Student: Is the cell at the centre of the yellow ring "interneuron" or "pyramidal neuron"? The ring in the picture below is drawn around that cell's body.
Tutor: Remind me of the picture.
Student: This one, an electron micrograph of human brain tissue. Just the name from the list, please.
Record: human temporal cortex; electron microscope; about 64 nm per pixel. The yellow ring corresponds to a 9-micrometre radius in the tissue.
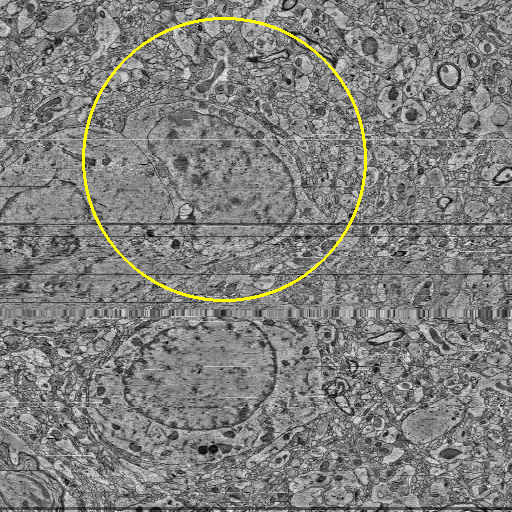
interneuron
